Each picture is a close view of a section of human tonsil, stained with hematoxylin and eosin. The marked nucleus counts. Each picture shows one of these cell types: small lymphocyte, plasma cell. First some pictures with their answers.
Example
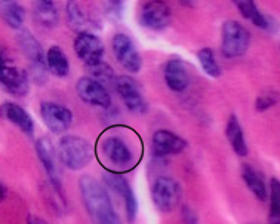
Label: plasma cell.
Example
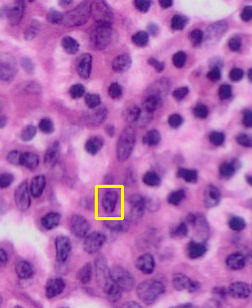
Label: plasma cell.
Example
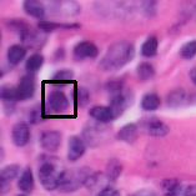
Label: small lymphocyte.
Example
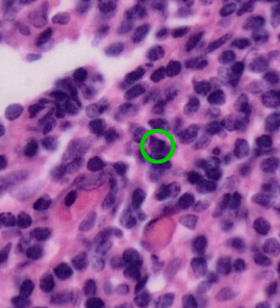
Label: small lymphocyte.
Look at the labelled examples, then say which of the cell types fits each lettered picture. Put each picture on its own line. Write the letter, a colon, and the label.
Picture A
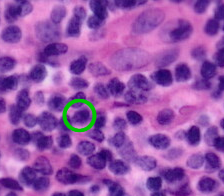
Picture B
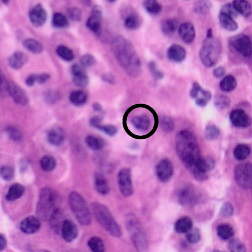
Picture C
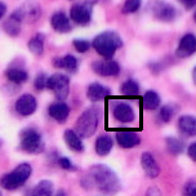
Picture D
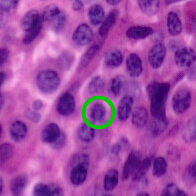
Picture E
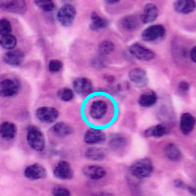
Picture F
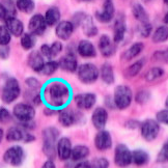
A: small lymphocyte.
B: plasma cell.
C: small lymphocyte.
D: plasma cell.
E: plasma cell.
F: small lymphocyte.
